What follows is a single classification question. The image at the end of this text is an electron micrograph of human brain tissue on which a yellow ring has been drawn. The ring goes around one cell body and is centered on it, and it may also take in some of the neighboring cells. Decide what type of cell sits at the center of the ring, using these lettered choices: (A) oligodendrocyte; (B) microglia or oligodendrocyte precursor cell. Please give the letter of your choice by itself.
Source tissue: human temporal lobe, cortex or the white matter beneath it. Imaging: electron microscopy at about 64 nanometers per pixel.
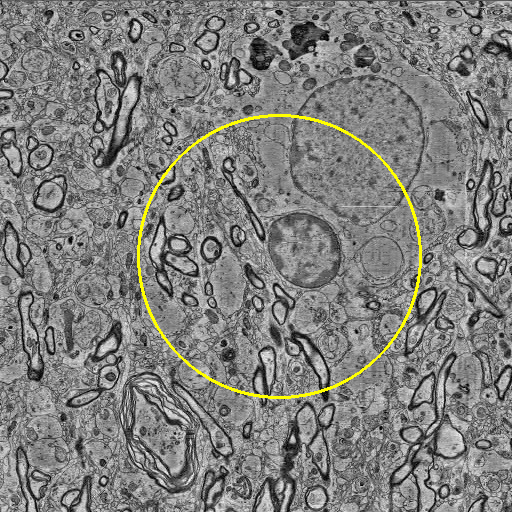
B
